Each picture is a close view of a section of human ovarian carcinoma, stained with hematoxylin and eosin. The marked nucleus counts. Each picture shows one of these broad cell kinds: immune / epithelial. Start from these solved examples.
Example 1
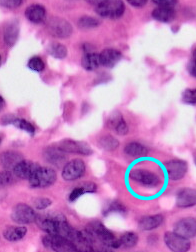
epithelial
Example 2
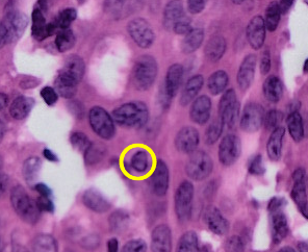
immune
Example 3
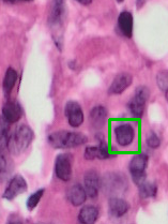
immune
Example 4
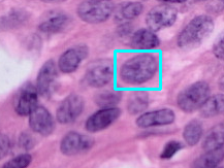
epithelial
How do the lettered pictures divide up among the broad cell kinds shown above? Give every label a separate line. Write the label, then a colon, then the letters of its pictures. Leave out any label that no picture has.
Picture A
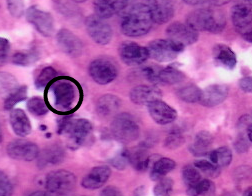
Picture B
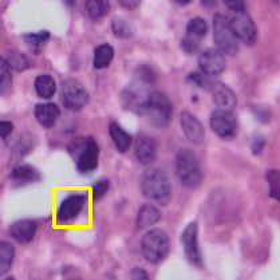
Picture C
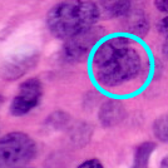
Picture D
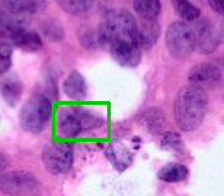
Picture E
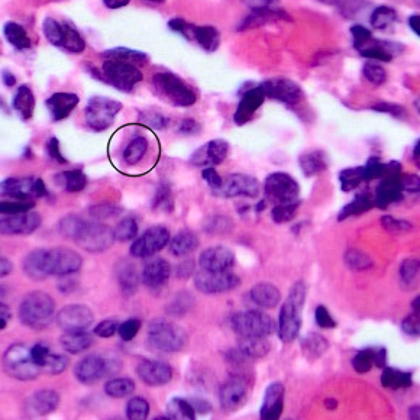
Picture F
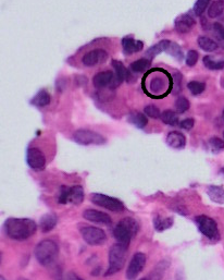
immune: E
epithelial: A, B, C, D, F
